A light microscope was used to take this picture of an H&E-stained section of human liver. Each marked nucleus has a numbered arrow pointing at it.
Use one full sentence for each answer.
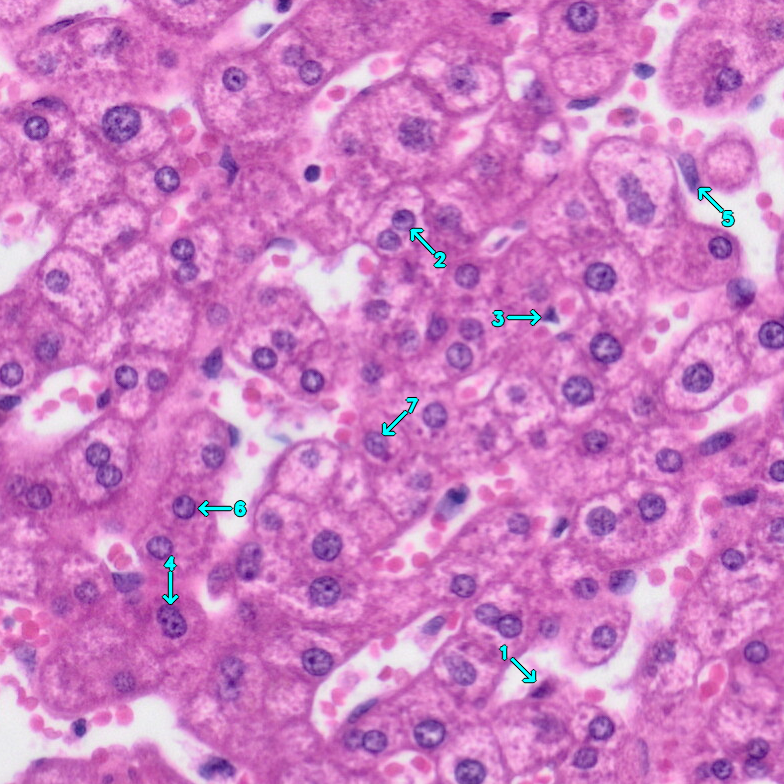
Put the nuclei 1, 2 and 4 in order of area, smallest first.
From smallest to largest, the order is 1, 2, 4.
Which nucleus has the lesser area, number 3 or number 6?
The smaller nucleus is 3, and 6 covers roughly 2 times its area.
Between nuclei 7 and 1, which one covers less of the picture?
With nucleus 7 about 2 times its size, nucleus 1 is the smaller of the two.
